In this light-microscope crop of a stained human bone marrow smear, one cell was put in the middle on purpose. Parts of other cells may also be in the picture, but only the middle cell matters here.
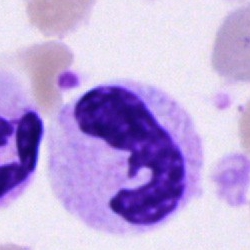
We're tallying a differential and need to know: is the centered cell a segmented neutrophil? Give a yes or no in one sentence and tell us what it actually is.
No, the cell in the middle of the field is a band neutrophil, not a segmented neutrophil as suggested.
